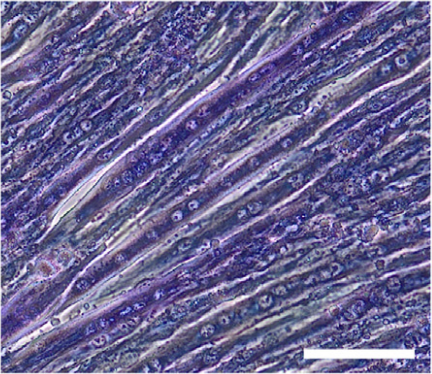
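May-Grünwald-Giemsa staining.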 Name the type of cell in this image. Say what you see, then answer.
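Long, parallel, multinucleated cells run diagonally across the field. Several nuclei lie in a row along each elongated cell. That points to this answer: Myotubes.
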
